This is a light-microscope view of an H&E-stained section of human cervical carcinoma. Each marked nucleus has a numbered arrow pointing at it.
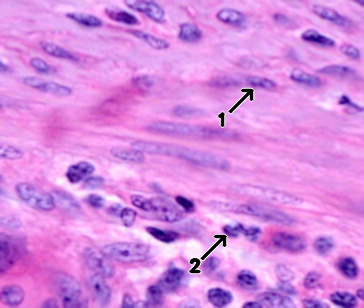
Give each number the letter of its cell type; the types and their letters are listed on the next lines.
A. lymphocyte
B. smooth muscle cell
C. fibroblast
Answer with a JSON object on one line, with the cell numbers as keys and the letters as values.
{"1": "B", "2": "A"}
